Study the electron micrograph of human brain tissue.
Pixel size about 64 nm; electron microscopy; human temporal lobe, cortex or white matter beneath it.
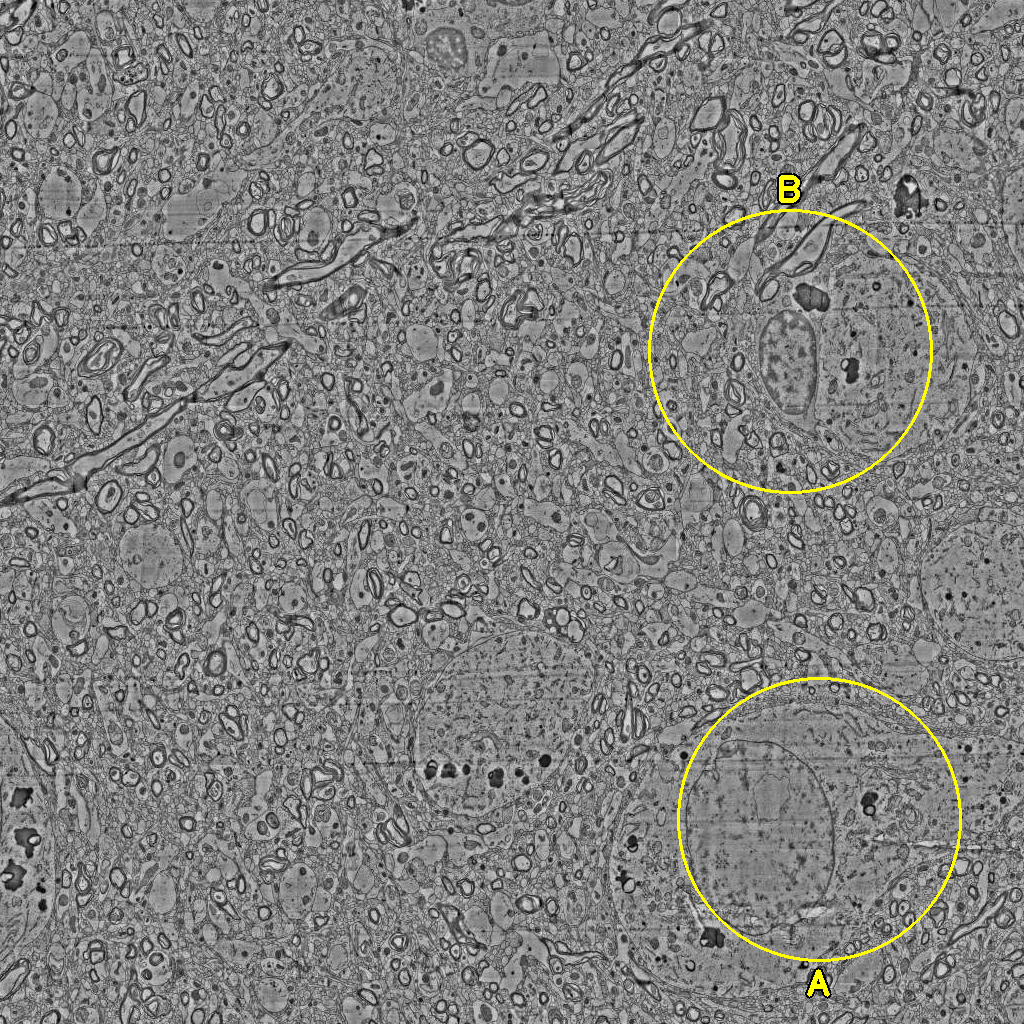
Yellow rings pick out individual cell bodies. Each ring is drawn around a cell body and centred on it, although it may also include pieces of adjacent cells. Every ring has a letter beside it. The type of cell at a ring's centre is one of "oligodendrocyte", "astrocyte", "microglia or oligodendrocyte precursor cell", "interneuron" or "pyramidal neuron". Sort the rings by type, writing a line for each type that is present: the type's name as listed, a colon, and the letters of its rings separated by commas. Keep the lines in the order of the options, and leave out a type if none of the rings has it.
oligodendrocyte: B
pyramidal neuron: A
